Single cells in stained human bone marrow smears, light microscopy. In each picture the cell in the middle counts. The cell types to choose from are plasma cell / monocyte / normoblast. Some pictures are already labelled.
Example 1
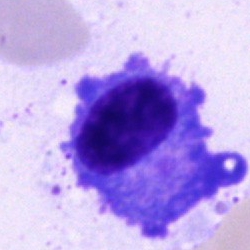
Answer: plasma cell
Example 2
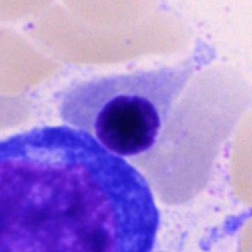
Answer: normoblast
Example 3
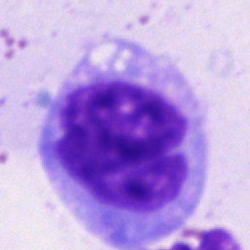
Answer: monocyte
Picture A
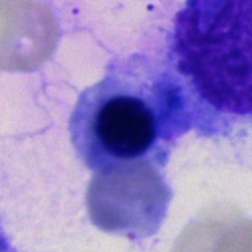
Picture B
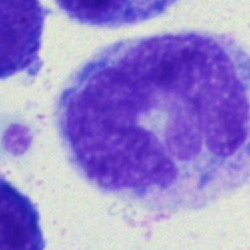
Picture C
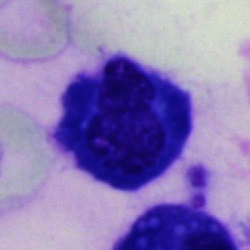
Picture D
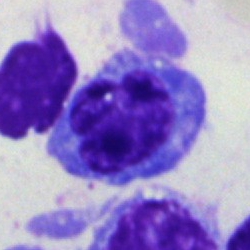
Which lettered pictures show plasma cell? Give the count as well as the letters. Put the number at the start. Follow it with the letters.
2: C, D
